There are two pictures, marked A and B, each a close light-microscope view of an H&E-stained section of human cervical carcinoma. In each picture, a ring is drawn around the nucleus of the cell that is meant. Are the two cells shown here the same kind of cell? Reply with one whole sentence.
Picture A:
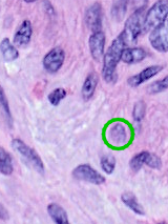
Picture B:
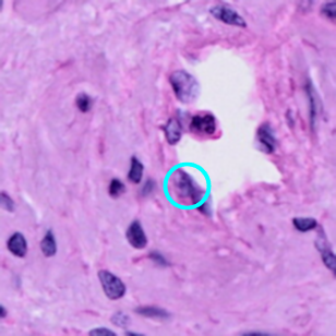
No; the cell in picture A is a smooth muscle cell, while the one in picture B is an endothelial cell.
